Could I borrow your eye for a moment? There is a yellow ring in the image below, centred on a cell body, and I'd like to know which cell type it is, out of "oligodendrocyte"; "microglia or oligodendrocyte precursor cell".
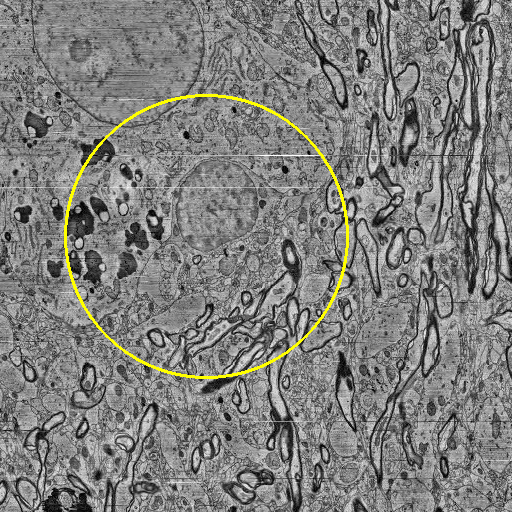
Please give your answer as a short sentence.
The cell body at the centre is that of an oligodendrocyte.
